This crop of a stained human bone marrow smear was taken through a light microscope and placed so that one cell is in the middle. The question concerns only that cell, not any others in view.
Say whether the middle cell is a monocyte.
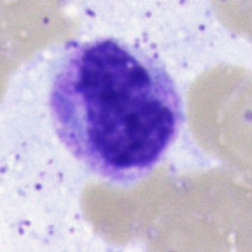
no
